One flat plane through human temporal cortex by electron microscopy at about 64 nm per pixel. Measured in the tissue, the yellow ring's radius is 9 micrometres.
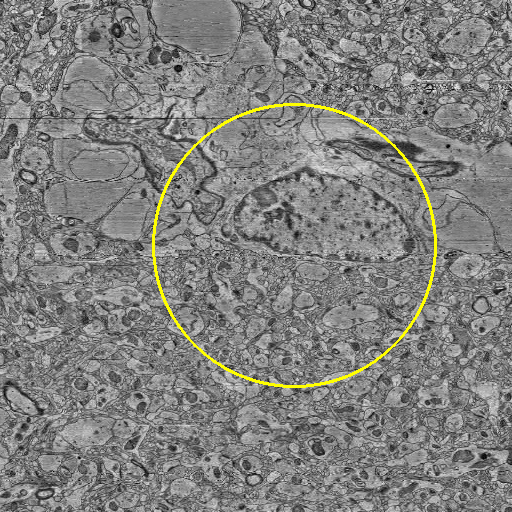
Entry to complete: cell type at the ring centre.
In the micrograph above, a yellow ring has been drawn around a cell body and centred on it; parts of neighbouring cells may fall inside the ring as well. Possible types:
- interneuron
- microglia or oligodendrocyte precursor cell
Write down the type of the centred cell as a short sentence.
The ring is centred on a microglial cell or oligodendrocyte precursor cell.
